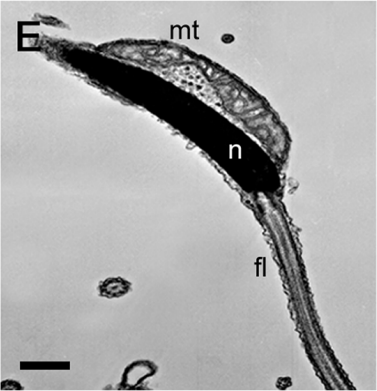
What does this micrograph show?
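Longitudinal section of a sperm cell with an elongated, intensely electron-dense nucleus forming the head. A single mitochondrion lies pressed against one side of the head, with small granules between it and the nucleus. A slender flagellum extends from the base of the head without any accessory structures around it.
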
